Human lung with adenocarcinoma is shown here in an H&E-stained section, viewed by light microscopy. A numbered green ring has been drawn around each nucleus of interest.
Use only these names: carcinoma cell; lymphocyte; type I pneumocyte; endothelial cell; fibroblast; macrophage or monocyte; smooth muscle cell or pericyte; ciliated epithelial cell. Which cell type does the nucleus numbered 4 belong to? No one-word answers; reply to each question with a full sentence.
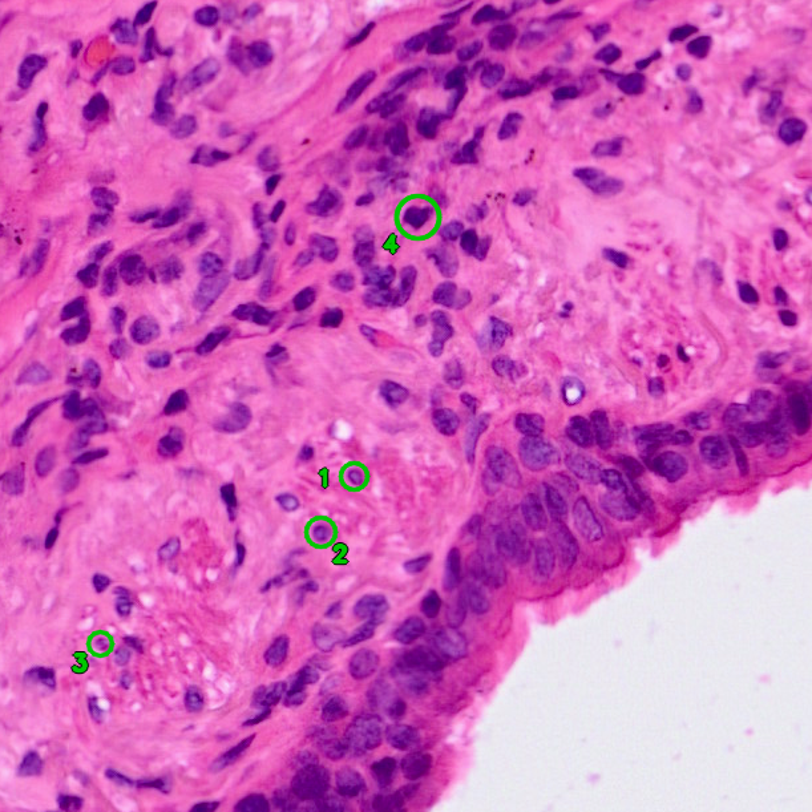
Classified as a lymphocyte is the cell with the number 4.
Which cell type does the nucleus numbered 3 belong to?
The cell marked with the number 3 is a smooth muscle cell or pericyte.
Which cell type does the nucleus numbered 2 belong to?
The nucleus labeled 2 belongs to a smooth muscle cell or pericyte.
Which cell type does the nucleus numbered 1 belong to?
The one numbered 1 among the marked cells is a smooth muscle cell or pericyte.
